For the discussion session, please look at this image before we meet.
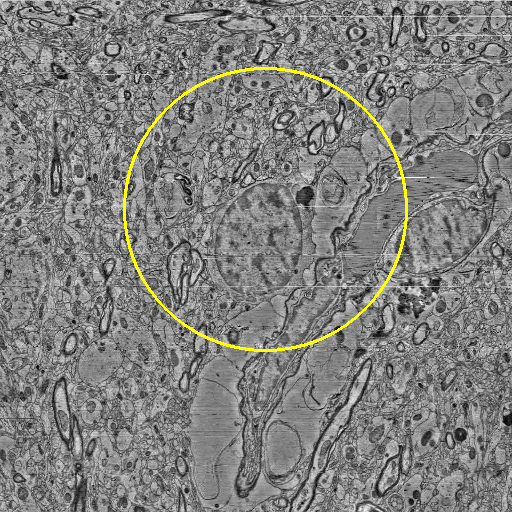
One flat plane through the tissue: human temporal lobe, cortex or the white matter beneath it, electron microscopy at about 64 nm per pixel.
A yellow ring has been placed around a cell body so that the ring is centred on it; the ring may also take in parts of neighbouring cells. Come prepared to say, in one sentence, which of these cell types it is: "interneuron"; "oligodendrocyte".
The cell centred in the ring is an oligodendrocyte.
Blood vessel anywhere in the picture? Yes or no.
Yes, there is one.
